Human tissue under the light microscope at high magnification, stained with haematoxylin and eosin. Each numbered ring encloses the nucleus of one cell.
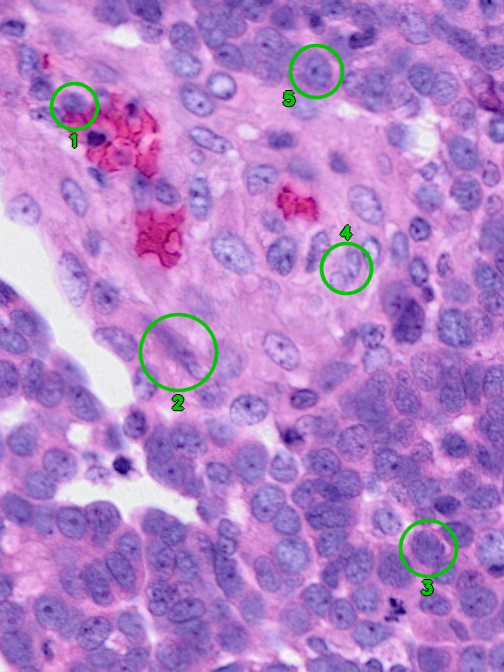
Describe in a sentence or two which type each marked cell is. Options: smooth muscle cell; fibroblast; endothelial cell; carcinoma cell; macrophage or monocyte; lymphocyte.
Cell 1 is an endothelial cell, cell 2 is an endothelial cell, cell 3 is a carcinoma cell, cell 4 is a fibroblast and cell 5 is a carcinoma cell.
